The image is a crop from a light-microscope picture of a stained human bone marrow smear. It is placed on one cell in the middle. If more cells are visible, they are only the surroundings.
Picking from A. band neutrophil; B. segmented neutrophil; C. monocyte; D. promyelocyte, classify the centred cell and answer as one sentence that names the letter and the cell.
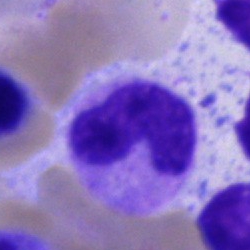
The cell at the centre is a band neutrophil, and option A accordingly is correct.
